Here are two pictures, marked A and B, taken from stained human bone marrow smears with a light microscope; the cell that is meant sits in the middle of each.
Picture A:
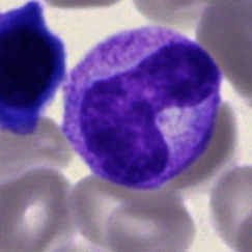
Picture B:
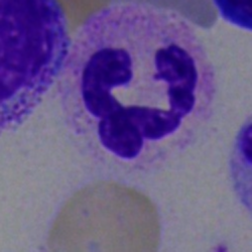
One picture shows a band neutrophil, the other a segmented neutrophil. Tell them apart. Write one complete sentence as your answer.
Picture A is of a band neutrophil, and picture B is of a segmented neutrophil.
